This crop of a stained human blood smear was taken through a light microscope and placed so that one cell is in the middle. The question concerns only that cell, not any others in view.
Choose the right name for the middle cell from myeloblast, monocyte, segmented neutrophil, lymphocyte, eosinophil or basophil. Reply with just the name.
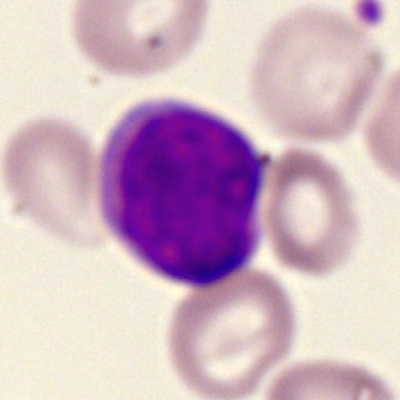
myeloblast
